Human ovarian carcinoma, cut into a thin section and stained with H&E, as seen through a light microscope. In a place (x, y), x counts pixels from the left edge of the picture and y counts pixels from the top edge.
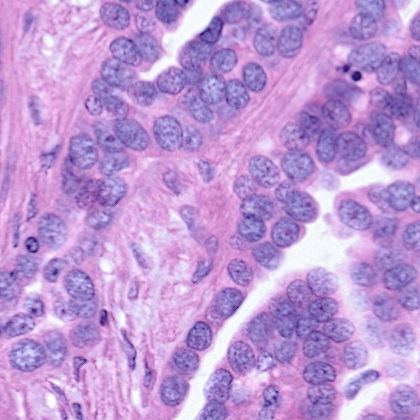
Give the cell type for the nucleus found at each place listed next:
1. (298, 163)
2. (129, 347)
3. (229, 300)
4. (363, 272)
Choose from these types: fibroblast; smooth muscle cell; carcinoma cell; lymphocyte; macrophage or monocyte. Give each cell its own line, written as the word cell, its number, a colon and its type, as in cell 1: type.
cell 1: carcinoma cell
cell 2: fibroblast
cell 3: carcinoma cell
cell 4: carcinoma cell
